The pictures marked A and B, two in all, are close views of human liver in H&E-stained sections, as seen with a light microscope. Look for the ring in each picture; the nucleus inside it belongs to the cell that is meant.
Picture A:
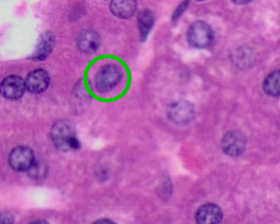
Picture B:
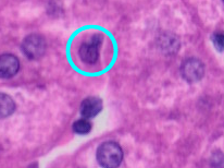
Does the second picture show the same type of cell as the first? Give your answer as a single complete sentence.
No; the cell in picture A is a cholangiocyte, while the one in picture B is a Kupffer cell.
